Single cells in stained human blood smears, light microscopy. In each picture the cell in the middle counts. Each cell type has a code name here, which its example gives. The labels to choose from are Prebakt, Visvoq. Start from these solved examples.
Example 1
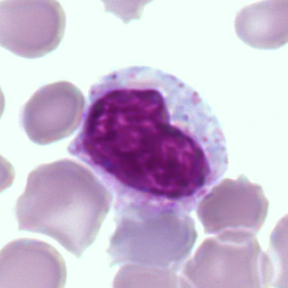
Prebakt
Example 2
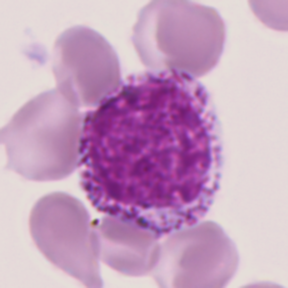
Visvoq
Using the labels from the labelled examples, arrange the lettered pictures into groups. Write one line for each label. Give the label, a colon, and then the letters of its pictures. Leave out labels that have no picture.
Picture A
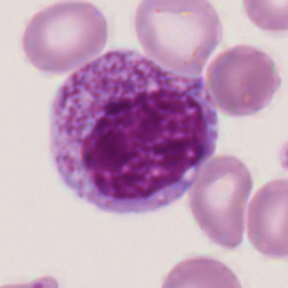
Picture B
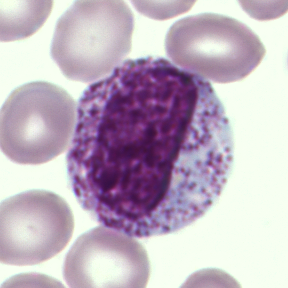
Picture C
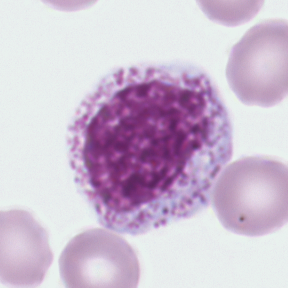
Prebakt: C
Visvoq: A, B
